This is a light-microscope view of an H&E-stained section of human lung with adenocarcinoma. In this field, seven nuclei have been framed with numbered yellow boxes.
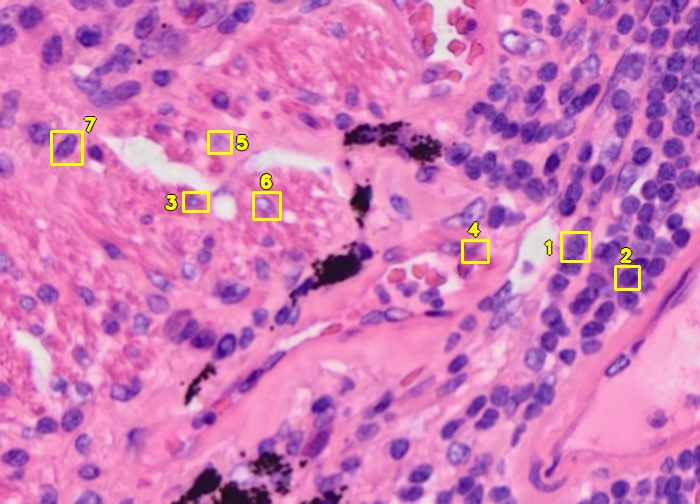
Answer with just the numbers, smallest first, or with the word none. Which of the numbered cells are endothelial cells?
4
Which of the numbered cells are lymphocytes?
1, 2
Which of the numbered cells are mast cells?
7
